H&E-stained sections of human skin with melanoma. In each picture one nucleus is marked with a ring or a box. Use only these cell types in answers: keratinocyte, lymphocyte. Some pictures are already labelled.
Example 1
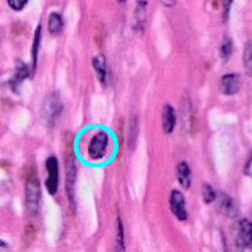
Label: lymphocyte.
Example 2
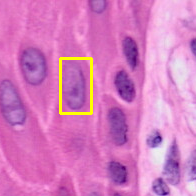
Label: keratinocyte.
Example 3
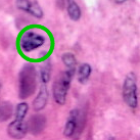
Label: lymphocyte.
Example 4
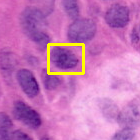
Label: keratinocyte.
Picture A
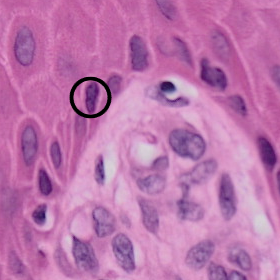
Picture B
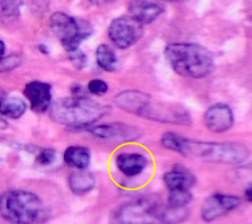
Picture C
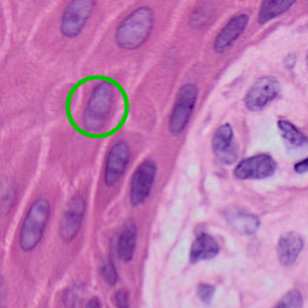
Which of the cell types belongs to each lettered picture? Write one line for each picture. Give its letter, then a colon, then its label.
A: keratinocyte.
B: lymphocyte.
C: keratinocyte.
